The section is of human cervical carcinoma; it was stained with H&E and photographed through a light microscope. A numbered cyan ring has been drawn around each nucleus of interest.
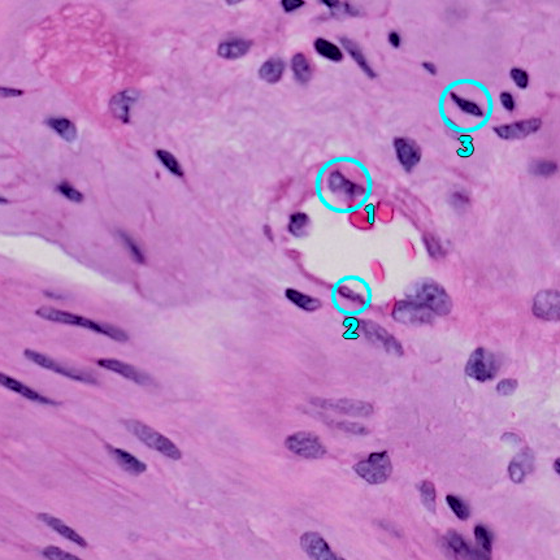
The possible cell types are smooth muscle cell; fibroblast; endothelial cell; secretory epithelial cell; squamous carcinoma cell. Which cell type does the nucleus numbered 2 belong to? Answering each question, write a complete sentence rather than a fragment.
It is as an endothelial cell that the cell numbered 2 is identified.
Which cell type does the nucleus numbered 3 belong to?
In this section, the cell numbered 3 is a fibroblast.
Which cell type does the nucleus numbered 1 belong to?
The cell with the number 1 is an endothelial cell.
